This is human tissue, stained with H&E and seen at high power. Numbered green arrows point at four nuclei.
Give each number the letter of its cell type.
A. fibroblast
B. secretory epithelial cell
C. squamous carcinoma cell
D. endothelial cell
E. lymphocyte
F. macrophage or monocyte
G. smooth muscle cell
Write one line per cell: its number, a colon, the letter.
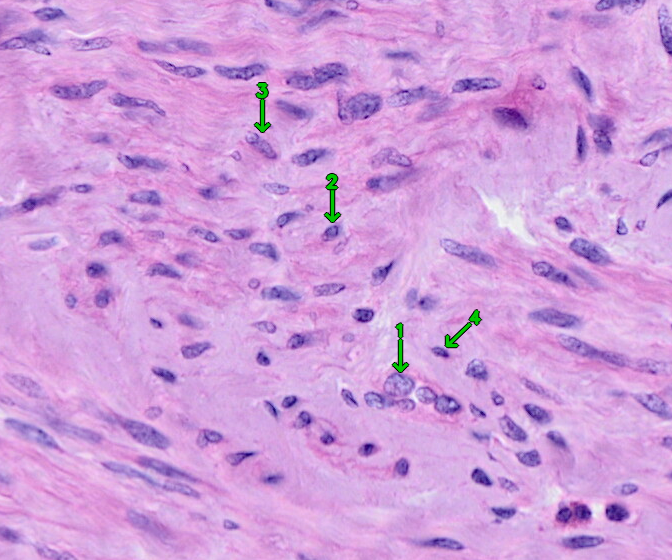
1: D
2: G
3: G
4: G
